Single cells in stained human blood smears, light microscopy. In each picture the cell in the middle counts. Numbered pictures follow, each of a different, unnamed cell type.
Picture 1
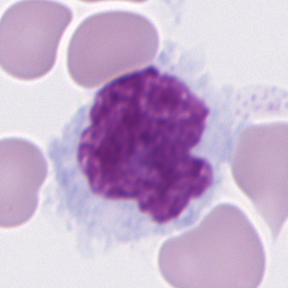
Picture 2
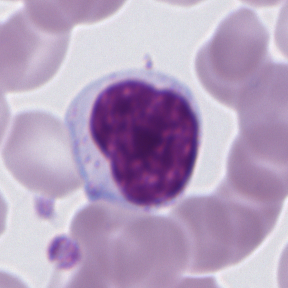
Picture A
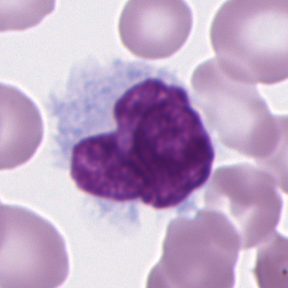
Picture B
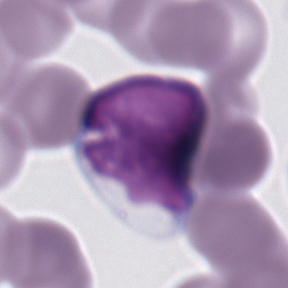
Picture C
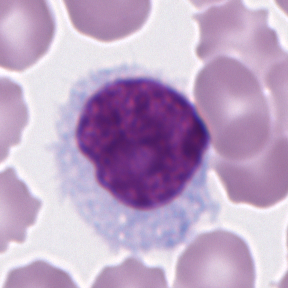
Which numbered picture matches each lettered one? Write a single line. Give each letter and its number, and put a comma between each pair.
A 1, B 2, C 1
